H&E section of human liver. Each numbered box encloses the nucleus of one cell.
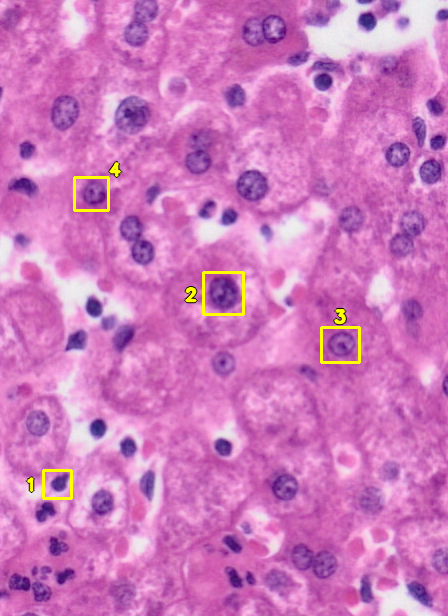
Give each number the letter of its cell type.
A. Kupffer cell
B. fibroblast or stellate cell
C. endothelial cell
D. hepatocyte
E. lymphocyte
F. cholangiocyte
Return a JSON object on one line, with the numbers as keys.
{"1": "E", "2": "D", "3": "D", "4": "D"}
